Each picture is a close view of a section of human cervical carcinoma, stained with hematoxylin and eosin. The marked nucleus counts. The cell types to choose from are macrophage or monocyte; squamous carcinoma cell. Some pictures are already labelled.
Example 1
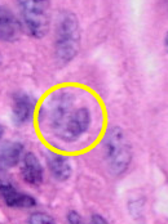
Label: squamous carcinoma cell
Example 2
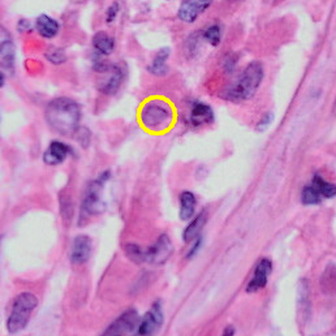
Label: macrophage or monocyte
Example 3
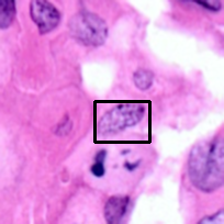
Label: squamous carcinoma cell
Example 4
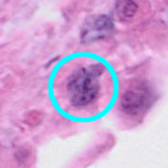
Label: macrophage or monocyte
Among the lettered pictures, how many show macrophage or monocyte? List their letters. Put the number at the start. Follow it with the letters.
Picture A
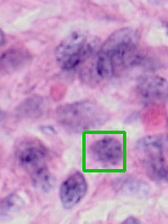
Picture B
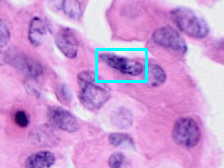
1, namely A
